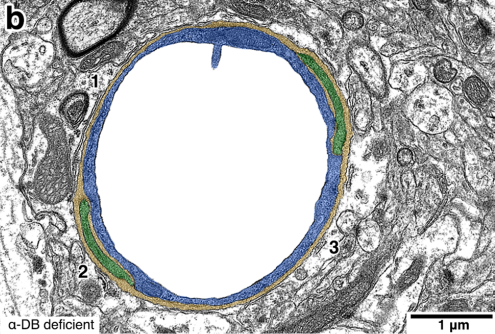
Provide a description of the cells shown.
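Cross-section of a brain capillary with a wide, empty lumen surrounded by neuropil. A thin blue-coloured endothelium lines the lumen, with a small flap projecting into it at the top. An orange basement membrane forms the outer layer of the wall and appears relatively broad in places. Myelinated axons and cell processes with mitochondria lie in the surrounding tissue.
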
